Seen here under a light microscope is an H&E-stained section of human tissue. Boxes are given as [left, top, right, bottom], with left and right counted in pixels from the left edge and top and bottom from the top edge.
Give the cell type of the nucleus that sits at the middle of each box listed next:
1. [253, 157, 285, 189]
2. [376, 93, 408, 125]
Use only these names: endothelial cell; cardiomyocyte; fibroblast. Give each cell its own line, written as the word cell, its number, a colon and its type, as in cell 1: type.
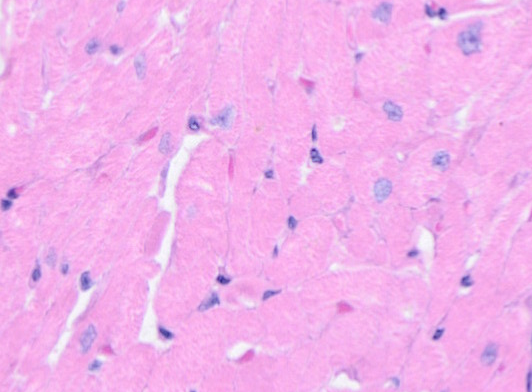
cell 1: endothelial cell
cell 2: cardiomyocyte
